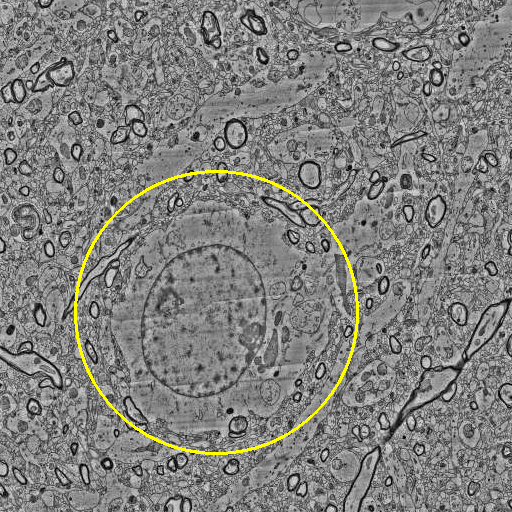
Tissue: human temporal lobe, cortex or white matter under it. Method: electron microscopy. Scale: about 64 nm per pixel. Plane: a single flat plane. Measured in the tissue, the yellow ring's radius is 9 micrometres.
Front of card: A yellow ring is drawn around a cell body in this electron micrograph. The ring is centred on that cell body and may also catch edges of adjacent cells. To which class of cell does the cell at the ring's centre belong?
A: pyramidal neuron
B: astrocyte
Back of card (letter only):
B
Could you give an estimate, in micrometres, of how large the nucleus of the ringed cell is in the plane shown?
About 10 by 8 micrometers for the nucleus, in this plane.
